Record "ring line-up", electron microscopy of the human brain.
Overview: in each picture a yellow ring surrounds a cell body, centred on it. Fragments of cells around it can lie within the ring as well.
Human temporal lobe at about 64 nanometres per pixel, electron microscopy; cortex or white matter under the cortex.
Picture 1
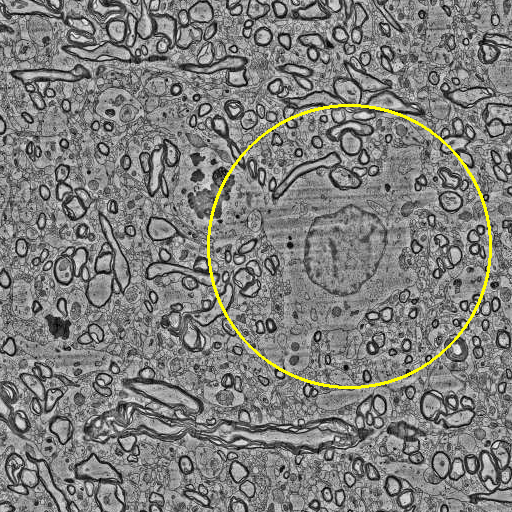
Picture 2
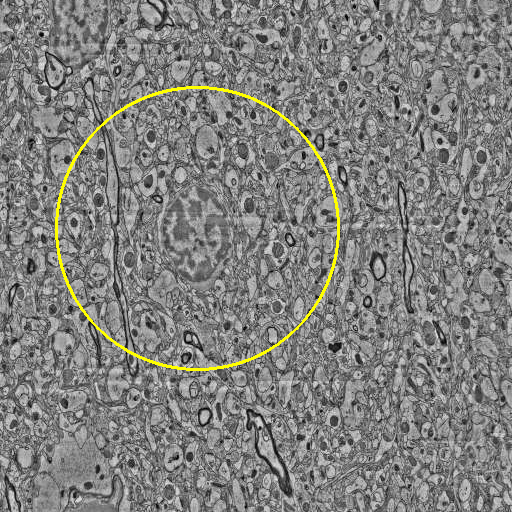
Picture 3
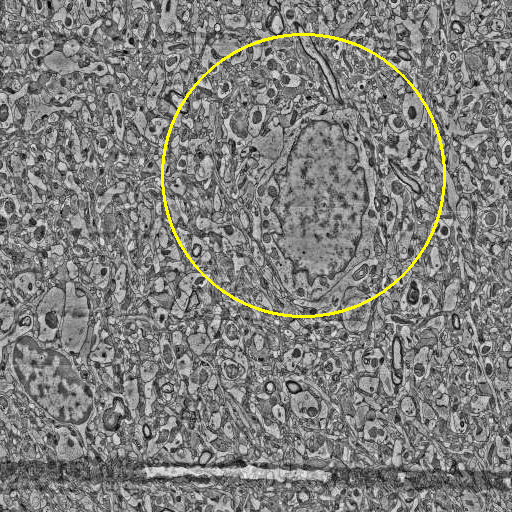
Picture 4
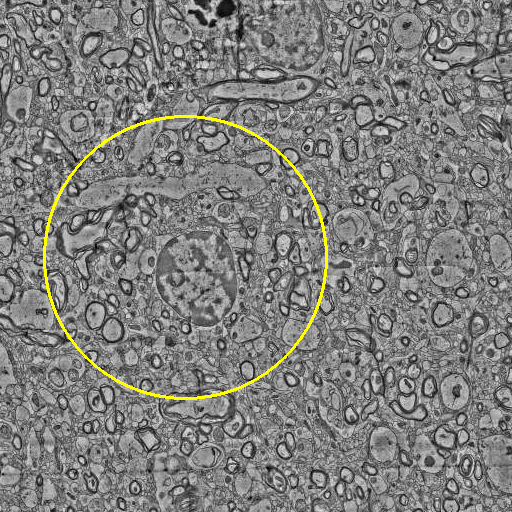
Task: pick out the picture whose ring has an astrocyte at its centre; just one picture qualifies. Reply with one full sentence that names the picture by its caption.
Going by the cell at the ring's centre, the right choice is Picture 1.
